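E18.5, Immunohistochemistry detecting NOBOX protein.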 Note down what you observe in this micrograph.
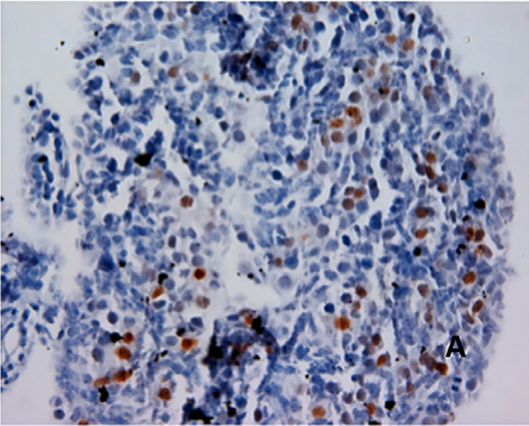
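Ovary section with densely packed cells and germ cells scattered among them. Many round nuclei are stained brown, spread across the section, among numerous smaller blue-counterstained nuclei of the surrounding cells. A few dark pigment-like specks are present.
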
